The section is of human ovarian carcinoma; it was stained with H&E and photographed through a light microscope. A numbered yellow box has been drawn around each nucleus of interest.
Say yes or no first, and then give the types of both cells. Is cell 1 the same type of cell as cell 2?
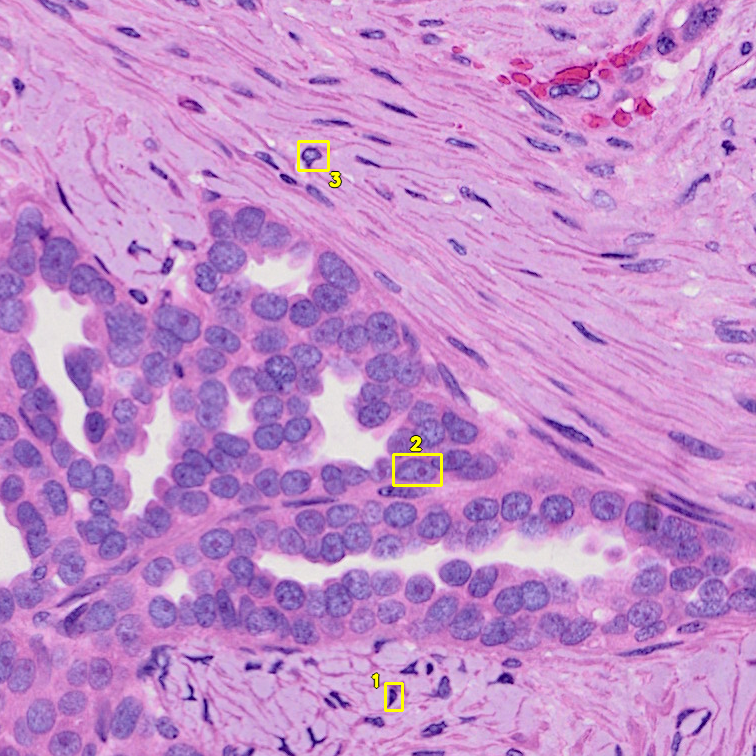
No, cell 1 is a fibroblast, and cell 2 is, by contrast, a carcinoma cell.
